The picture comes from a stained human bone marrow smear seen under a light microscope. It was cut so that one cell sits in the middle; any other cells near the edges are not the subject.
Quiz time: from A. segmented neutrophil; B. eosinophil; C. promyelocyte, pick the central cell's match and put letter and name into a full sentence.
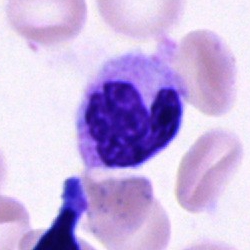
Option A is correct in that the central cell is a segmented neutrophil.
